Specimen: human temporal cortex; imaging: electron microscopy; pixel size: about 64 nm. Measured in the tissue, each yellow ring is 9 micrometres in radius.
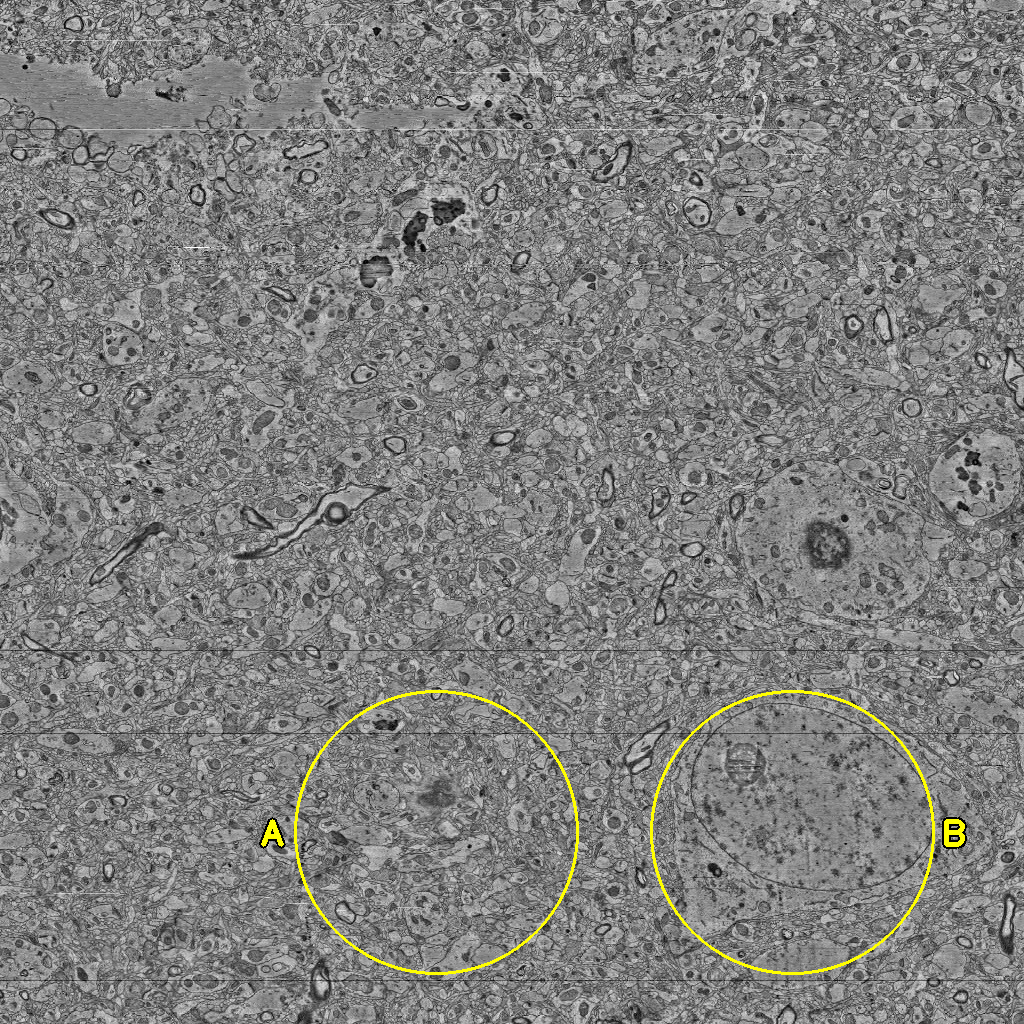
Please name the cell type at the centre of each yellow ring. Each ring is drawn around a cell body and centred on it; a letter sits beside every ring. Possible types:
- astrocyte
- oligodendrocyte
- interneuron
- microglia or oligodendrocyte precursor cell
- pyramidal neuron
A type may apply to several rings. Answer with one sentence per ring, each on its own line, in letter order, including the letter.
Ring A is centred on the cell body of an oligodendrocyte.
Ring B is centred on the cell body of a pyramidal neuron.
